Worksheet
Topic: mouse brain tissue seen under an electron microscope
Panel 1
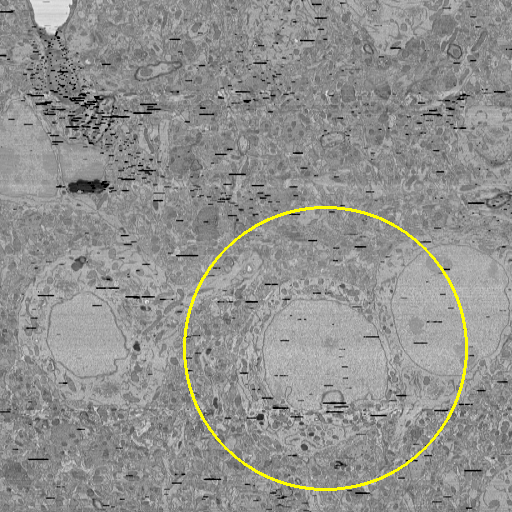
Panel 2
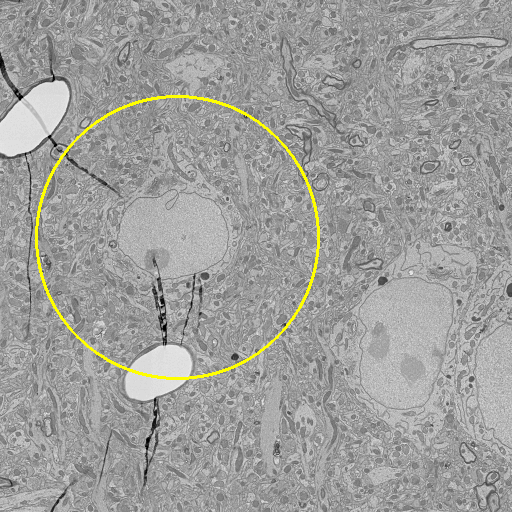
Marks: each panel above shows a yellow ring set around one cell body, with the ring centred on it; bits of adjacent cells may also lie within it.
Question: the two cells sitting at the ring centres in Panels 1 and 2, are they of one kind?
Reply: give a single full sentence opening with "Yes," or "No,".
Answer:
No, the two ring-centre cells in Panel 1 and Panel 2 are of two kinds.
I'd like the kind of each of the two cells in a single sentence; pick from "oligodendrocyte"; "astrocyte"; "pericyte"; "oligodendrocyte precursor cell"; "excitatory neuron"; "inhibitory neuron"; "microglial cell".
The first ring marks an inhibitory neuron, and the second ring marks an excitatory neuron.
